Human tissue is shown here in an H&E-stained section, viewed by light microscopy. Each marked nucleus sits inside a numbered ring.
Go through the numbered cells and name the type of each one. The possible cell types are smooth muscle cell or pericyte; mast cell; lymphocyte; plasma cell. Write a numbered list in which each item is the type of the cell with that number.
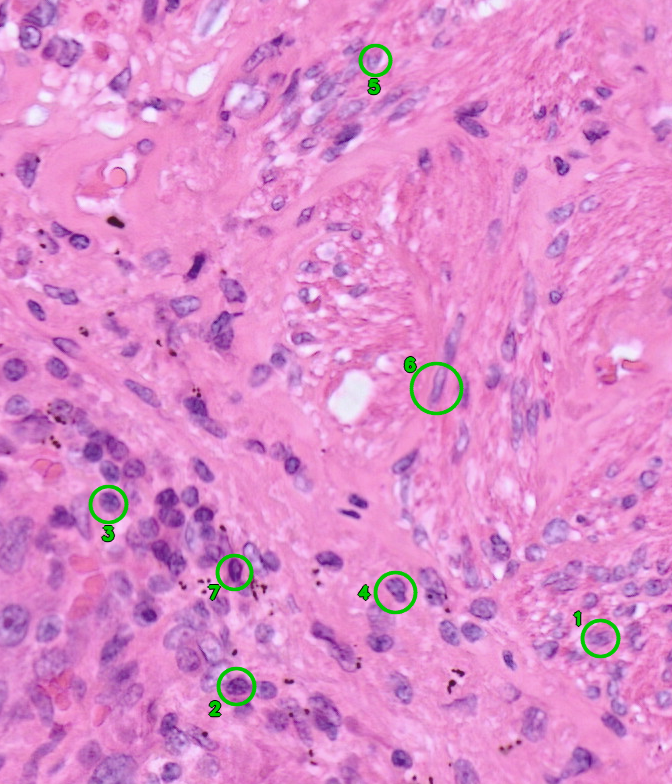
1. smooth muscle cell or pericyte
2. plasma cell
3. lymphocyte
4. mast cell
5. smooth muscle cell or pericyte
6. smooth muscle cell or pericyte
7. plasma cell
